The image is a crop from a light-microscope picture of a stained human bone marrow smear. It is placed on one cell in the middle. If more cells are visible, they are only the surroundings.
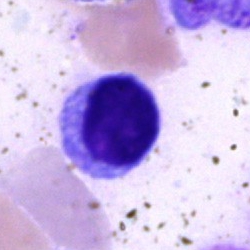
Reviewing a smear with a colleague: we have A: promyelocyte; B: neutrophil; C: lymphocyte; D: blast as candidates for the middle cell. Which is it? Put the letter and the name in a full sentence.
Option C is correct in that the central cell is a lymphocyte.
